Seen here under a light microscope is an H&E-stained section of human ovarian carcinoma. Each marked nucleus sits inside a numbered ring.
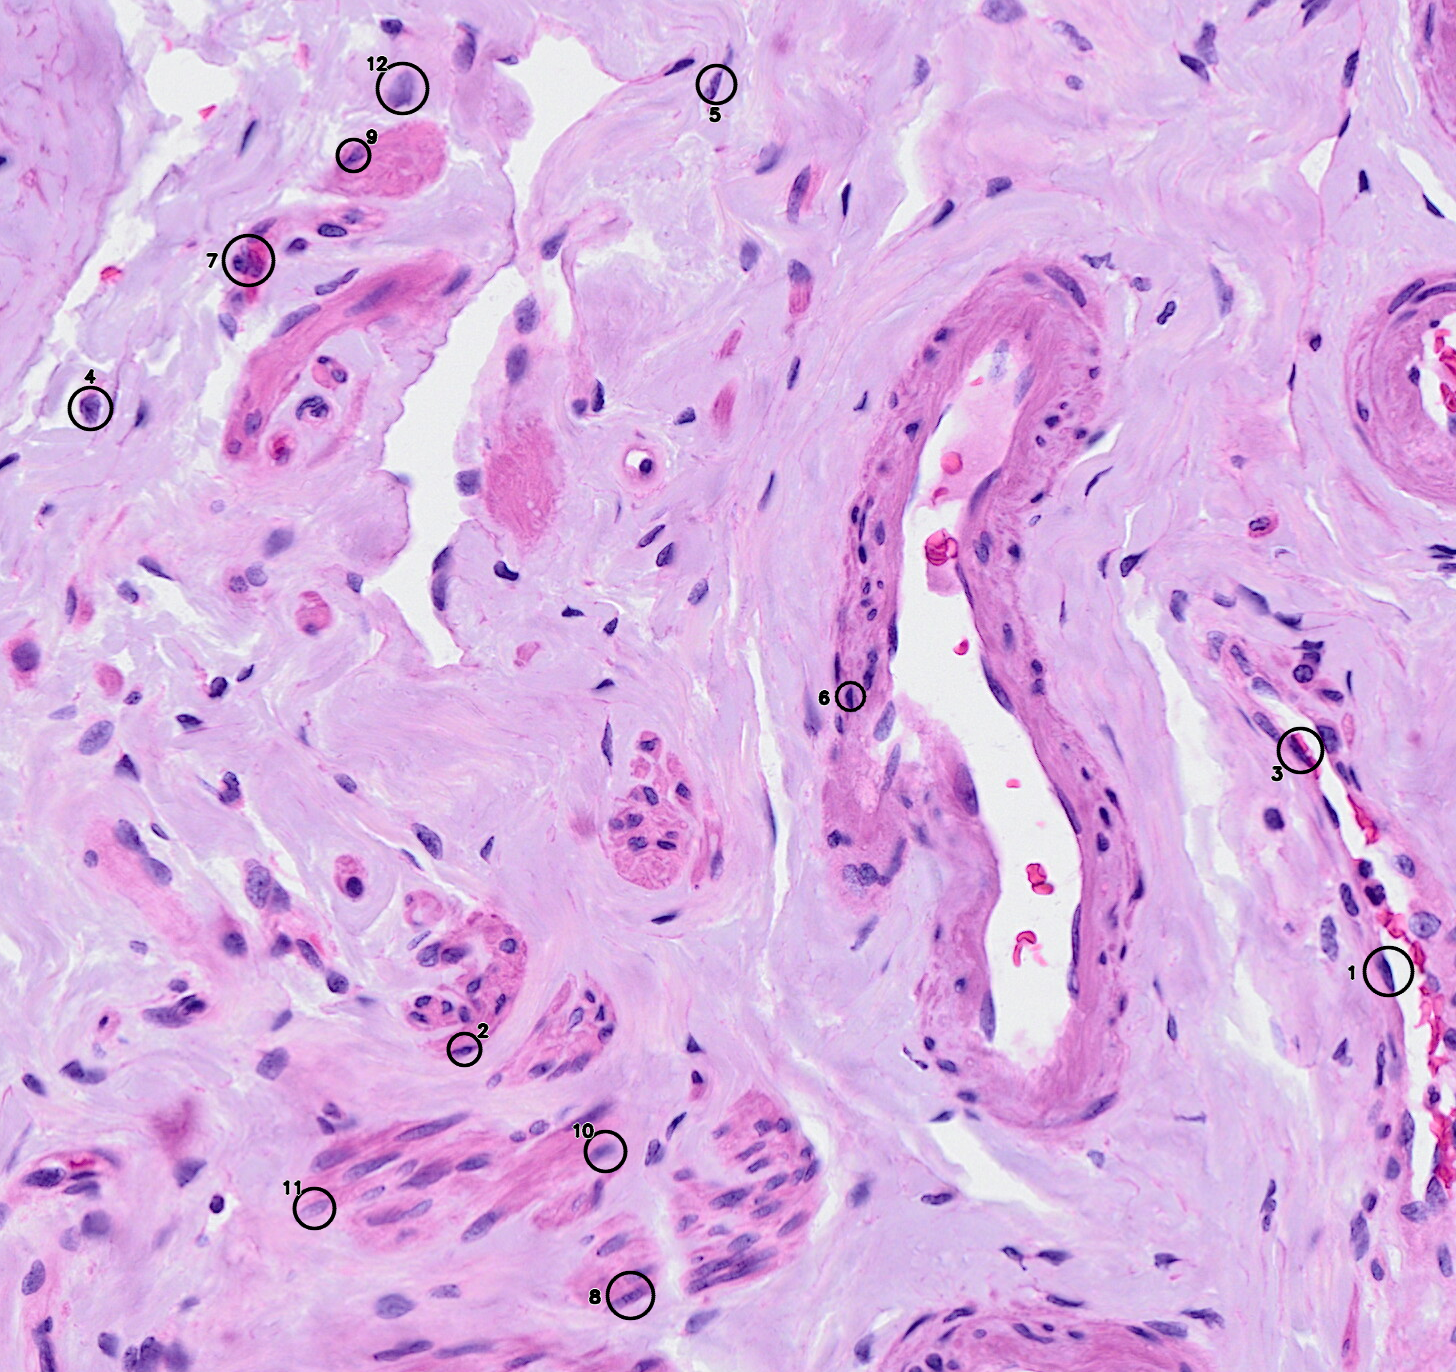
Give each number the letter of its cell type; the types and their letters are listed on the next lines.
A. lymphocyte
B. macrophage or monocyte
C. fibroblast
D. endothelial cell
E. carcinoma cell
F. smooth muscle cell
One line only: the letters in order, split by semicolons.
D; F; D; C; C; F; D; F; F; F; F; C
